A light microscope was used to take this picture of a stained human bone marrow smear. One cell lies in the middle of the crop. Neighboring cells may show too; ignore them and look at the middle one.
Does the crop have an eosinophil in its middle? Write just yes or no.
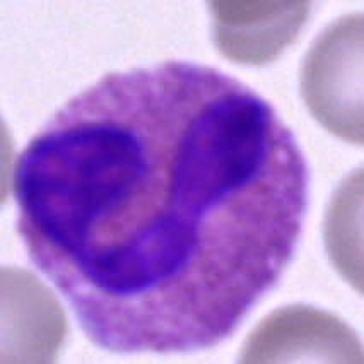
yes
